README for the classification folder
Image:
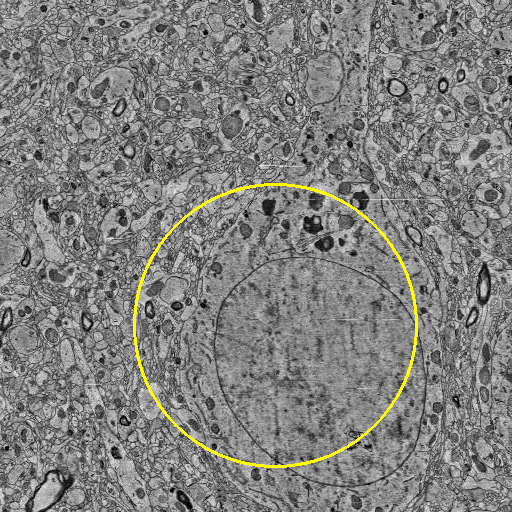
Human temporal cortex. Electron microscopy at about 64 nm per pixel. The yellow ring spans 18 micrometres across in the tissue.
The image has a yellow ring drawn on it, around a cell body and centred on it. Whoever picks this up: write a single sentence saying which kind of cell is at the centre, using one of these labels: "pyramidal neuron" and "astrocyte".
This cell body is that of a pyramidal neuron.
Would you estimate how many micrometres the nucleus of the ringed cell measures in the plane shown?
In this plane, roughly 16 by 13 micrometres.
